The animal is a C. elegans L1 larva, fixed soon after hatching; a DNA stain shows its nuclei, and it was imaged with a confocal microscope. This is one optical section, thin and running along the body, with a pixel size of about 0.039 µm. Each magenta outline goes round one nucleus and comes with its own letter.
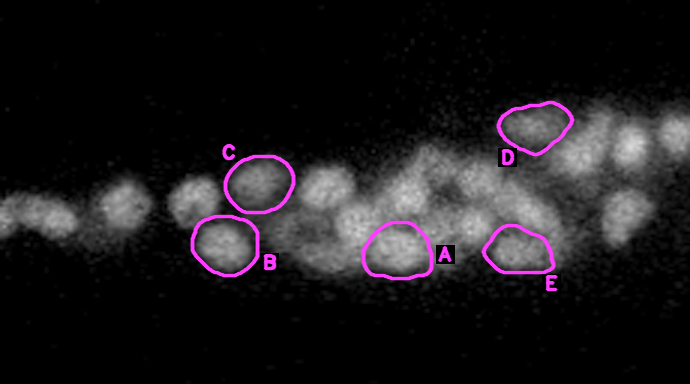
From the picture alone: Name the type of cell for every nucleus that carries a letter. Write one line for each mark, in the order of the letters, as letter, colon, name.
A: neuron
B: neuron
C: hypodermal cell (hyp)
D: rectal epithelial cell
E: body wall muscle cell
